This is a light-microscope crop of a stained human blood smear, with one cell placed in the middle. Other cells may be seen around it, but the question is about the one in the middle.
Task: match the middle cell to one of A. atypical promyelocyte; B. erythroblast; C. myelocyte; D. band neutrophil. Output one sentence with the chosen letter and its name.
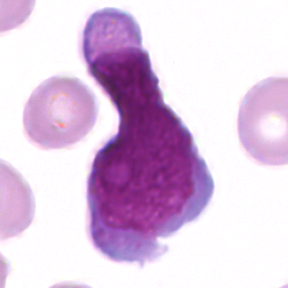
Option A is the right choice, the central cell being an atypical promyelocyte.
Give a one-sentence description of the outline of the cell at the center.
The edge of the cell is broken up by ragged stretches or by outward projections.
